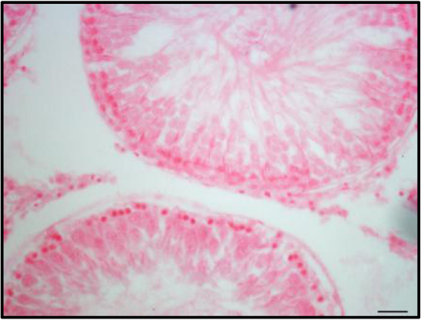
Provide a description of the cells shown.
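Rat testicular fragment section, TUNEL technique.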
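Cross sections of two seminiferous tubules are shown, separated by a pale interstitial space containing scattered cells. Each tubule is lined by several layers of germ cells stained pink, with rounded red-pink nuclei concentrated in the outer layers near the tubule wall and paler, elongated cells extending toward the central lumen in a radiating arrangement. Almost no dark blue stained nuclei are present within the tubules. The tubule walls appear as thin rims, and the interstitium between them is loose with sparse cellular elements.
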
